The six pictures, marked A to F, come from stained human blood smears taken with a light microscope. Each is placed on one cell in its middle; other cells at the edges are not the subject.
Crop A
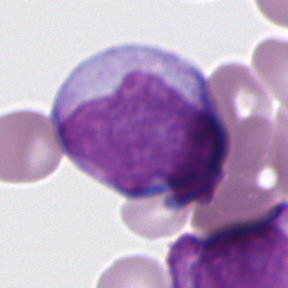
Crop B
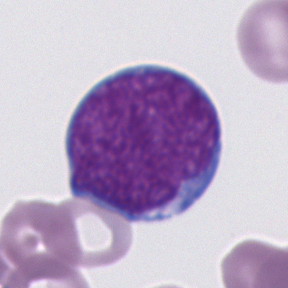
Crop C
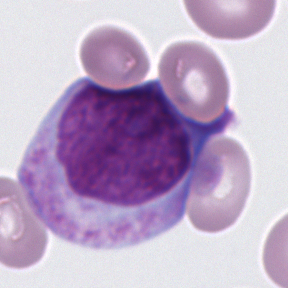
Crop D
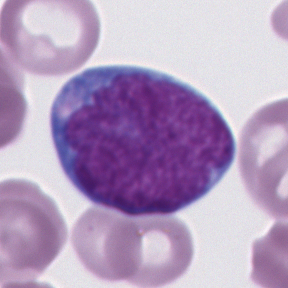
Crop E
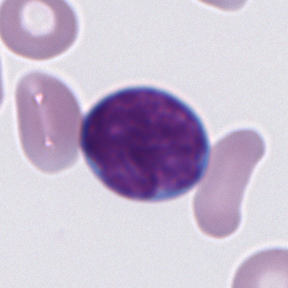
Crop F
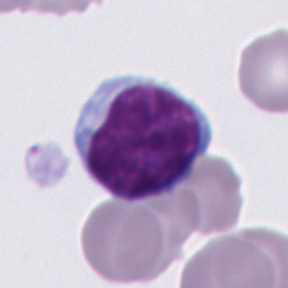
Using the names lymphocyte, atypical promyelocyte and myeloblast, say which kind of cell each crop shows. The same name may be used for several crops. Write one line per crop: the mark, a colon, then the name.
A: atypical promyelocyte
B: myeloblast
C: atypical promyelocyte
D: myeloblast
E: lymphocyte
F: lymphocyte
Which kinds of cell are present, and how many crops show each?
atypical promyelocyte: 2
myeloblast: 2
lymphocyte: 2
